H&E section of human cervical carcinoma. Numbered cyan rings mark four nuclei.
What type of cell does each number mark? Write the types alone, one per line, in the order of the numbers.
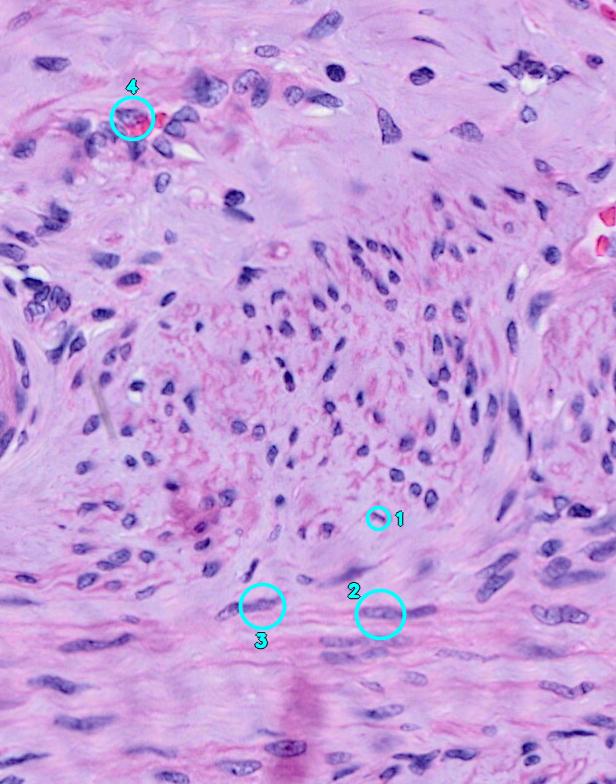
smooth muscle cell
smooth muscle cell
smooth muscle cell
endothelial cell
